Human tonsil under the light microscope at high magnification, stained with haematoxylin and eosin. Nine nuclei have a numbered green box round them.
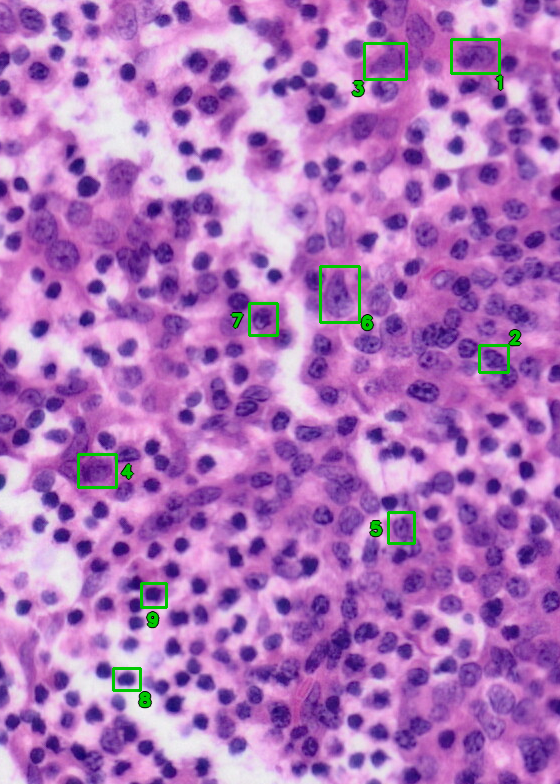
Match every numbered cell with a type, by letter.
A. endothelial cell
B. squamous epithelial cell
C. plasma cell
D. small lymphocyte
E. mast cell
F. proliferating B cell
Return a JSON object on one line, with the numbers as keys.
{"1": "B", "2": "C", "3": "B", "4": "B", "5": "C", "6": "B", "7": "C", "8": "D", "9": "C"}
